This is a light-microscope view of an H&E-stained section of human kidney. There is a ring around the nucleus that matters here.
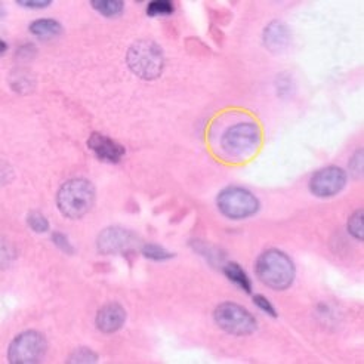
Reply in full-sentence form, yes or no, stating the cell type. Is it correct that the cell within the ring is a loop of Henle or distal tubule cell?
No, far from being a loop of Henle or distal tubule cell, the cell within the ring is a collecting duct cell.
